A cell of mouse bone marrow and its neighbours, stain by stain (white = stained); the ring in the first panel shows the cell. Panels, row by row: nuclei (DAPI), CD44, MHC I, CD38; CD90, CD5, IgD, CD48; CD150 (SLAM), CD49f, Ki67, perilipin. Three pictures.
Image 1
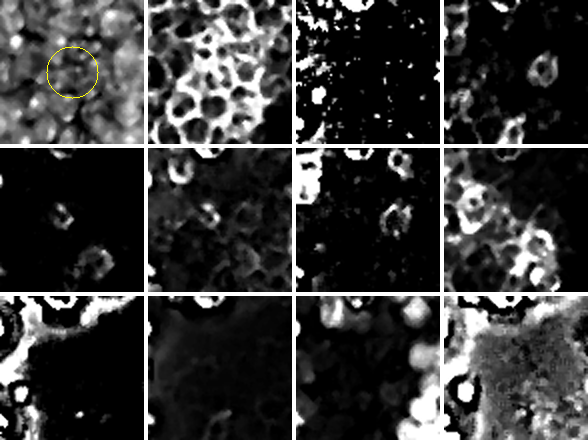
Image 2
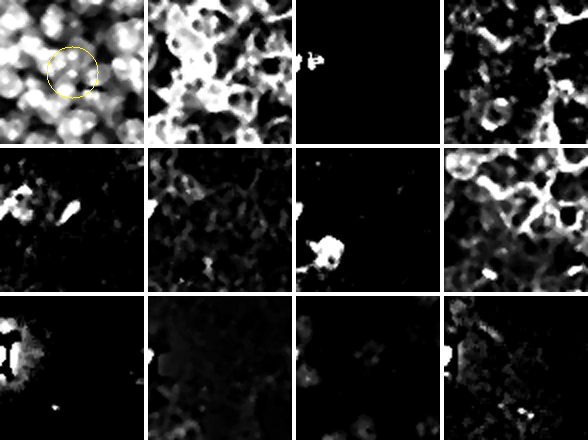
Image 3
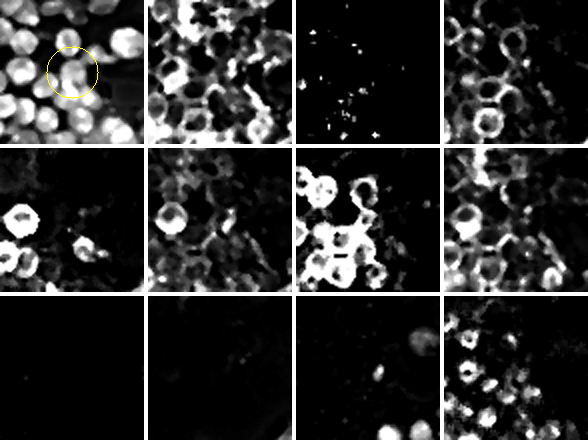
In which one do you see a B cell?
In picture 3.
